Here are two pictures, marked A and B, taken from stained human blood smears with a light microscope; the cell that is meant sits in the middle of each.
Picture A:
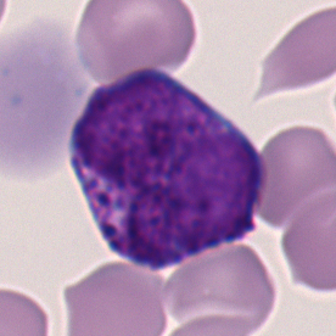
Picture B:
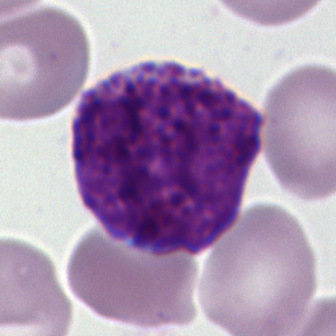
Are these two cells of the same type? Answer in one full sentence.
Yes, they are the same type: both are basophils.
